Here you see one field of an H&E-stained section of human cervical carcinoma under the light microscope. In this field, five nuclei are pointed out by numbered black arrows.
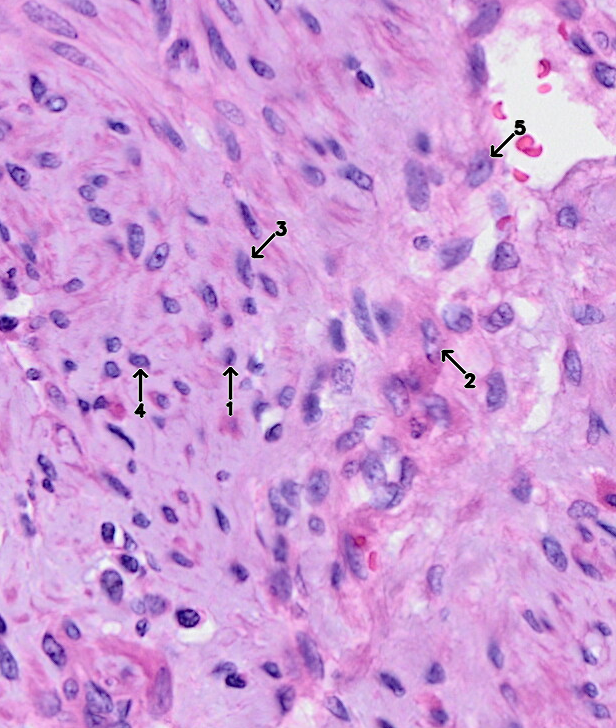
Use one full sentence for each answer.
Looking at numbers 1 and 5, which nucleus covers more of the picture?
Number 5 is larger; its area is about 4 times that of number 1.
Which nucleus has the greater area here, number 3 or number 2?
Nucleus 2 is larger, with an area about 1.5 times that of nucleus 3.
